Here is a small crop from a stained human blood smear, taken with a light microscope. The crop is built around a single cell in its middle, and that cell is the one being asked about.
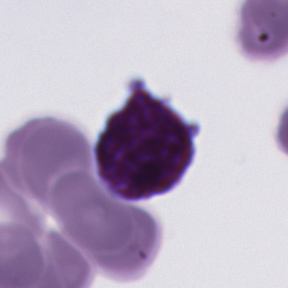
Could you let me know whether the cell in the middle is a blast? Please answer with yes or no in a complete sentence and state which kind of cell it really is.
Yes, the cell positioned in the middle is a blast.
